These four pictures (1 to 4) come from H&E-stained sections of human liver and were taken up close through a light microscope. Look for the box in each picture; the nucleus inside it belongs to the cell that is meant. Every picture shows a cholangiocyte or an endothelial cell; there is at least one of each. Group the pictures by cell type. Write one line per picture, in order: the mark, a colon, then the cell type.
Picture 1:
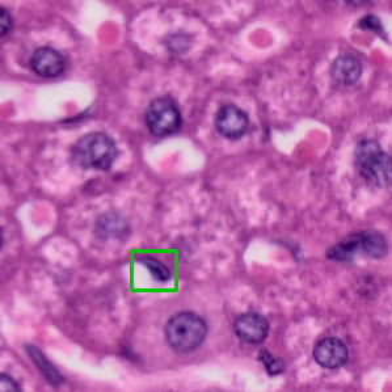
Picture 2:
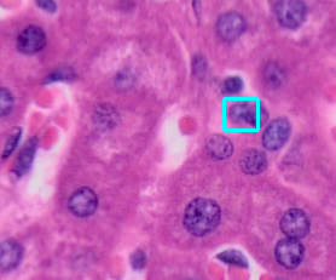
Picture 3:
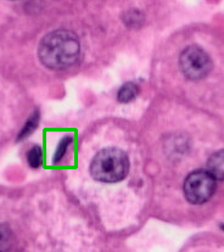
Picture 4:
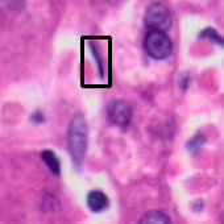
1: endothelial cell
2: cholangiocyte
3: endothelial cell
4: endothelial cell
